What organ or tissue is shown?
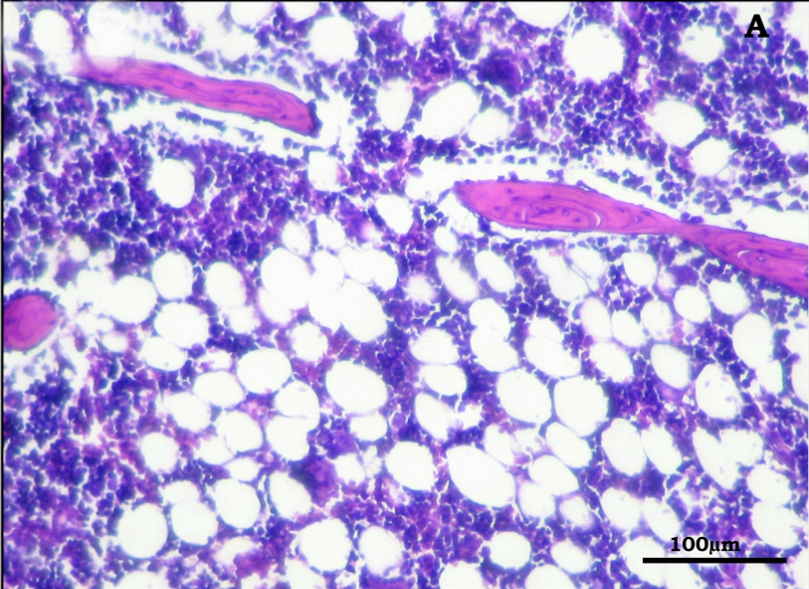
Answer: cancellous bone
